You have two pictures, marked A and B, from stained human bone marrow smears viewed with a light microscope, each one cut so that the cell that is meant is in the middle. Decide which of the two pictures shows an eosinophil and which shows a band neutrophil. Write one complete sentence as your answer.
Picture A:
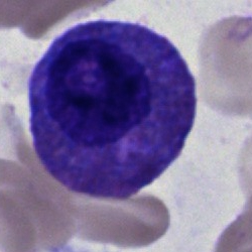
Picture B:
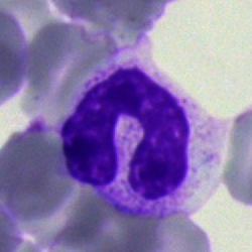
Picture A is of an eosinophil, and picture B is of a band neutrophil.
